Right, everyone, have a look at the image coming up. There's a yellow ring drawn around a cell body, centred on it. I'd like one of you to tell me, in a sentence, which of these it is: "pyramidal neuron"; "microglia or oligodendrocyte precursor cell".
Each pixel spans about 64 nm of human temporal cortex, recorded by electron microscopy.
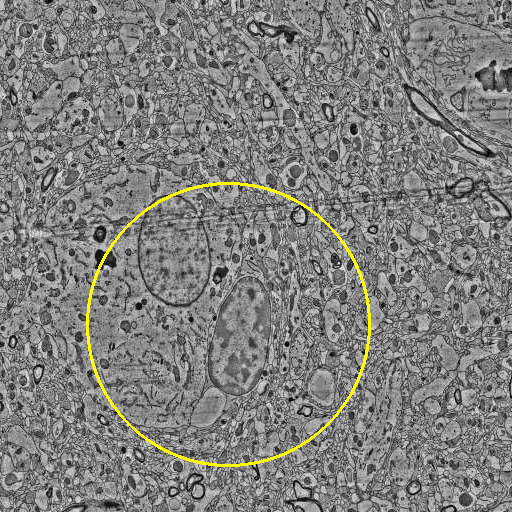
The yellow ring sits on a microglial cell or oligodendrocyte precursor cell.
